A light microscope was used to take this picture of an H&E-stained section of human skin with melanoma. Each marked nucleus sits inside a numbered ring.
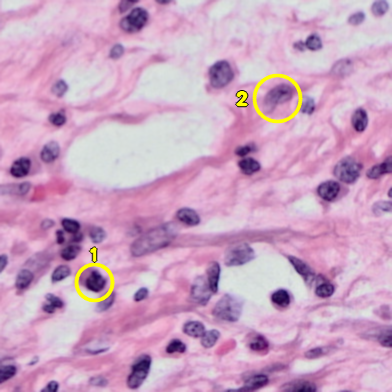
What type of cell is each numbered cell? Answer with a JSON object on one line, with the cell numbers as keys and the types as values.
{"1": "plasma cell", "2": "macrophage or monocyte"}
